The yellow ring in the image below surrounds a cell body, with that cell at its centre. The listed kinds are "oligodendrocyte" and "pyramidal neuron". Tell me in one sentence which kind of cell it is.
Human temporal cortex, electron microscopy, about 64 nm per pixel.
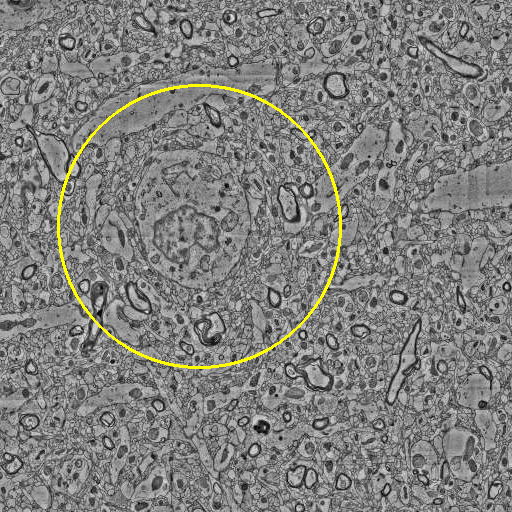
The centre of the ring holds a pyramidal neuron.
